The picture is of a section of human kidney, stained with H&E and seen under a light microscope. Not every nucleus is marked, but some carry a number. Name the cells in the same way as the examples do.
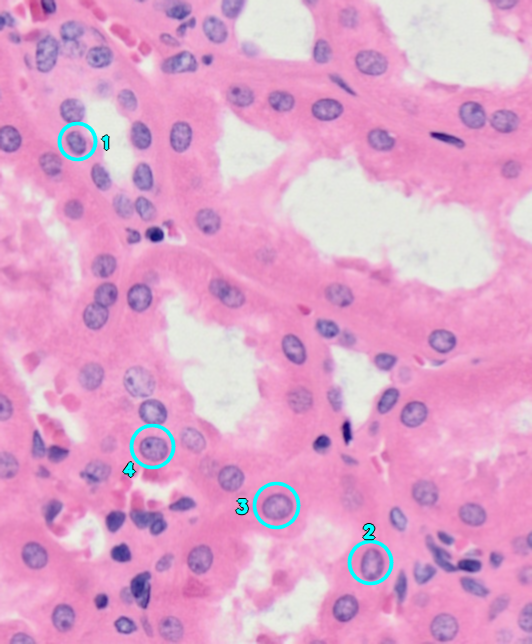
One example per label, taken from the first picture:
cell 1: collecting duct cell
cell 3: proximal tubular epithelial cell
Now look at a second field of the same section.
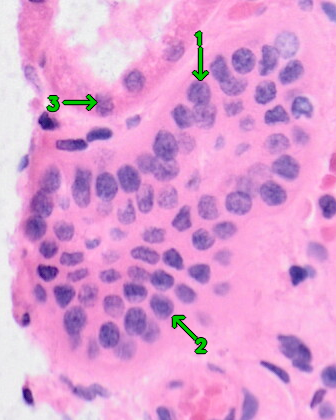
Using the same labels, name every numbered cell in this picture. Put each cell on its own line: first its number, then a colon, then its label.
1: collecting duct cell
2: collecting duct cell
3: proximal tubular epithelial cell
